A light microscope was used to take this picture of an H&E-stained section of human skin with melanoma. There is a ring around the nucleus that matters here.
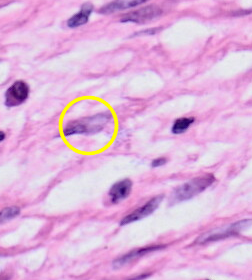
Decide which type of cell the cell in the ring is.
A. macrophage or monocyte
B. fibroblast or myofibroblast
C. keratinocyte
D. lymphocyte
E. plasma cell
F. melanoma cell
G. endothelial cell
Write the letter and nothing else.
B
